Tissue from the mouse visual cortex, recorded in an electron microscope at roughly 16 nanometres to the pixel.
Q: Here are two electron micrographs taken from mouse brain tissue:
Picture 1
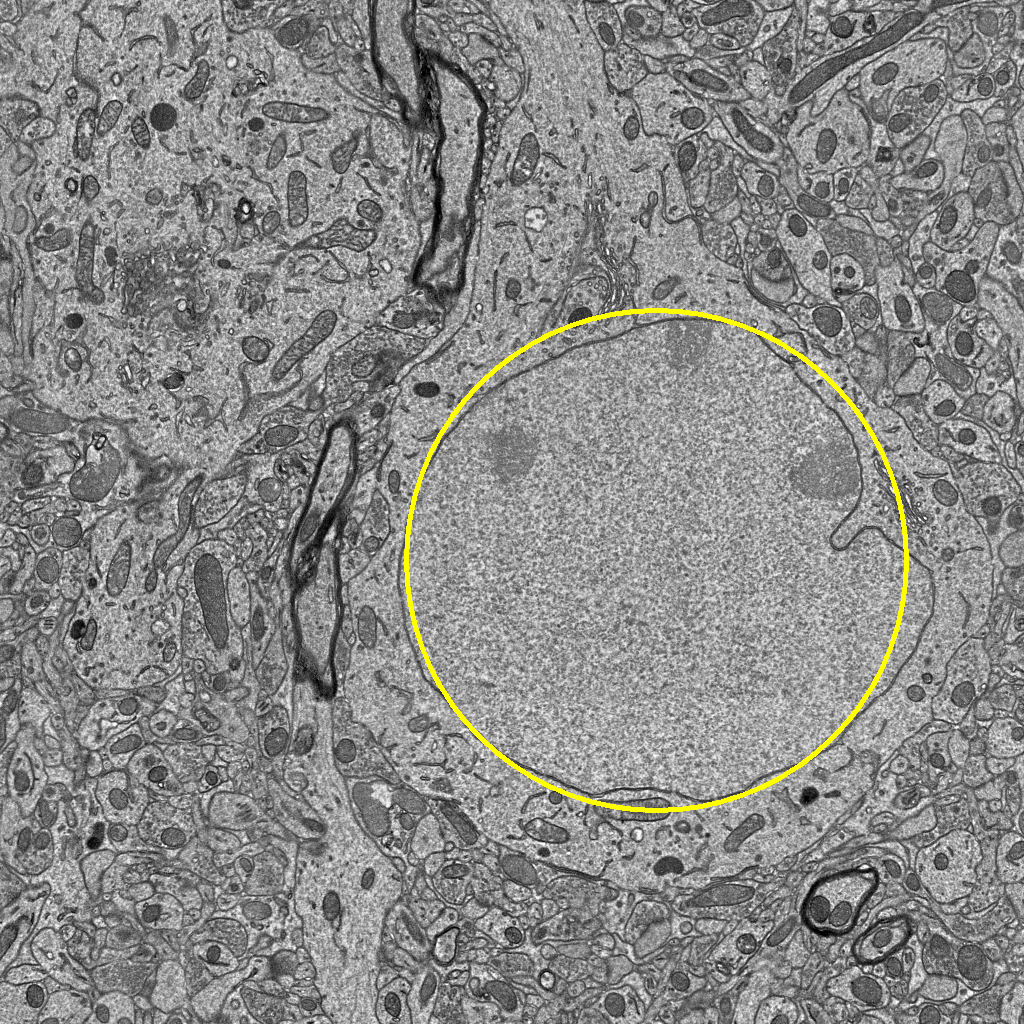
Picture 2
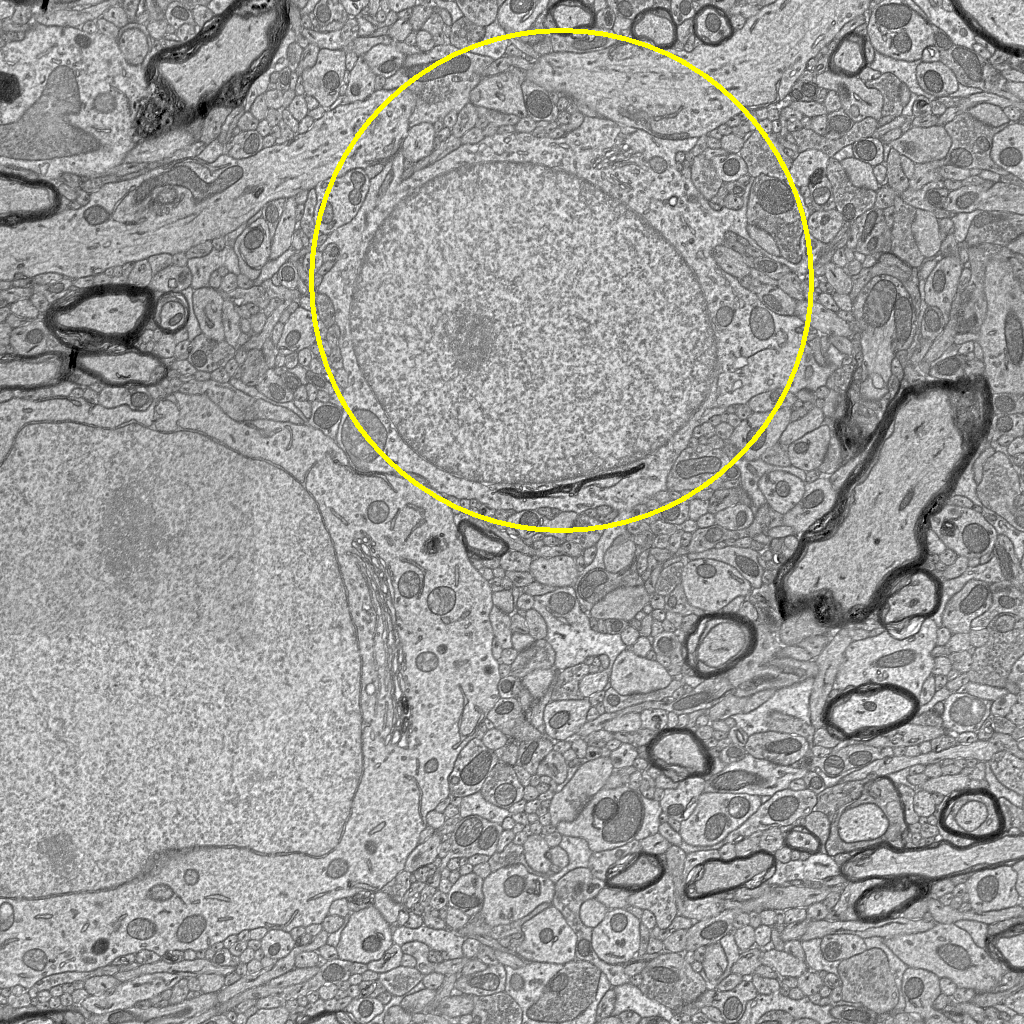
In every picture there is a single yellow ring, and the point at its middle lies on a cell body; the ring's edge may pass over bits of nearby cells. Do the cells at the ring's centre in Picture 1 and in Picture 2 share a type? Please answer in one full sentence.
No, the cells at the ring's centre in Picture 1 and Picture 2 are of two types.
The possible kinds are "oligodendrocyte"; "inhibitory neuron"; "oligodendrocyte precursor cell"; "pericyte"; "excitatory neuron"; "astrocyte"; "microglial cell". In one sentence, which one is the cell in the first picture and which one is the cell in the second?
The cell at the centre of the ring is an excitatory neuron in the first picture and an astrocyte in the second.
